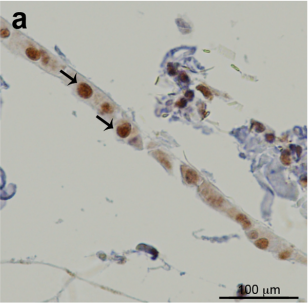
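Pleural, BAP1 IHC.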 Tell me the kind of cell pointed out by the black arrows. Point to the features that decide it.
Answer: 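The marked cells have brown-stained oval nuclei. So: normal mesothelial cells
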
